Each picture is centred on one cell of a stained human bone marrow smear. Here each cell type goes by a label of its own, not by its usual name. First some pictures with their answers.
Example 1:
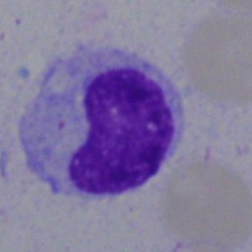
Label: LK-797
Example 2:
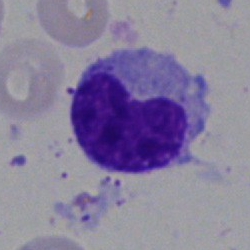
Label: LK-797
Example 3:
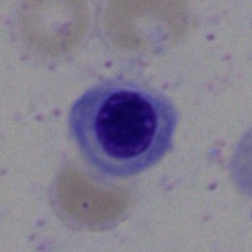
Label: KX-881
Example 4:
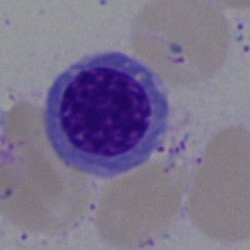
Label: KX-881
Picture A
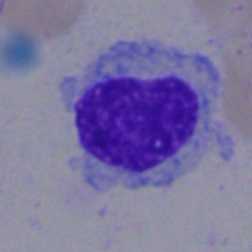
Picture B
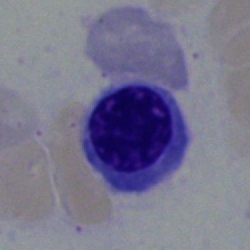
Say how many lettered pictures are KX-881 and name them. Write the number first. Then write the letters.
Count: 1 (B)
